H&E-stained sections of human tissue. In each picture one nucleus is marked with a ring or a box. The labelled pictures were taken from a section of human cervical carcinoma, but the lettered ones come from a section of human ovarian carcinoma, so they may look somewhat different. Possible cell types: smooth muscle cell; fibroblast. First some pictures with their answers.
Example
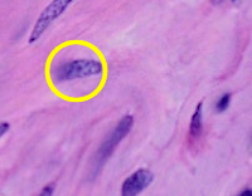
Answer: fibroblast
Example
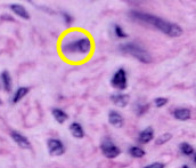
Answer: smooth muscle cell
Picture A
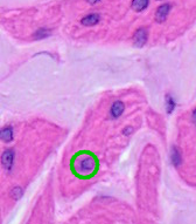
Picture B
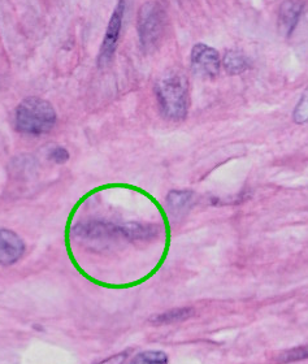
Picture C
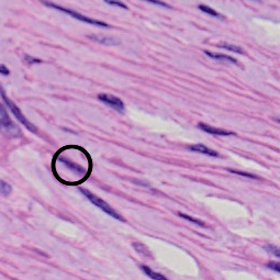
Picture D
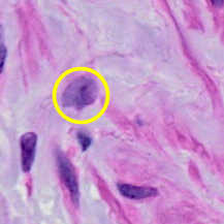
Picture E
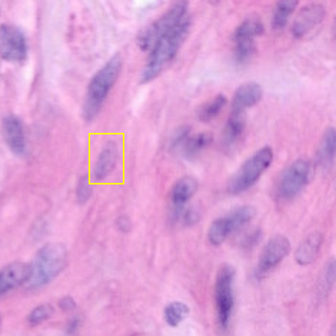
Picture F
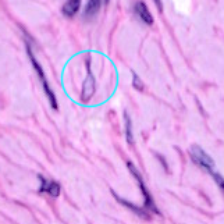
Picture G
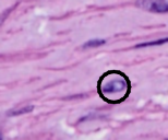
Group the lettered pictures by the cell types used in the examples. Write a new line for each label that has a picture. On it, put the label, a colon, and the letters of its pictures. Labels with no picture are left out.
smooth muscle cell: A, E
fibroblast: B, C, D, F, G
